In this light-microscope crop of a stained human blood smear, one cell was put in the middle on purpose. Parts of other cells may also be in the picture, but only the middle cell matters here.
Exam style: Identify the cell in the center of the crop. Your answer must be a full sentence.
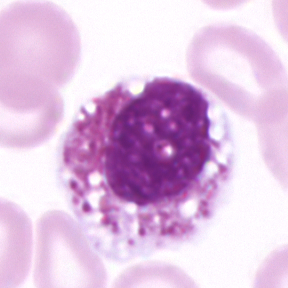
In the crop, the cell of interest at the centre is an eosinophil.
